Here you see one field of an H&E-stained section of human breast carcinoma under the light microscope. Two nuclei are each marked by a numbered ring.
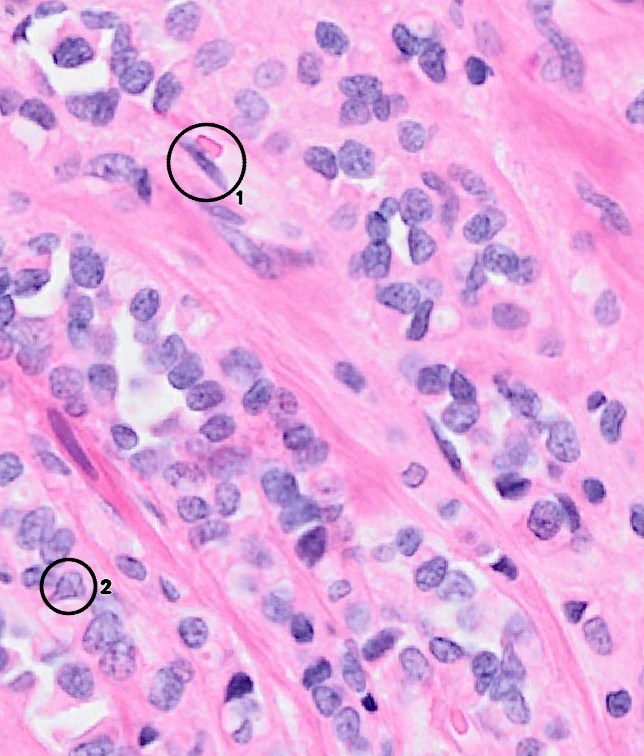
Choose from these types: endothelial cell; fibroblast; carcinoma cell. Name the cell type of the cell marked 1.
endothelial cell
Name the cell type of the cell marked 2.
carcinoma cell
